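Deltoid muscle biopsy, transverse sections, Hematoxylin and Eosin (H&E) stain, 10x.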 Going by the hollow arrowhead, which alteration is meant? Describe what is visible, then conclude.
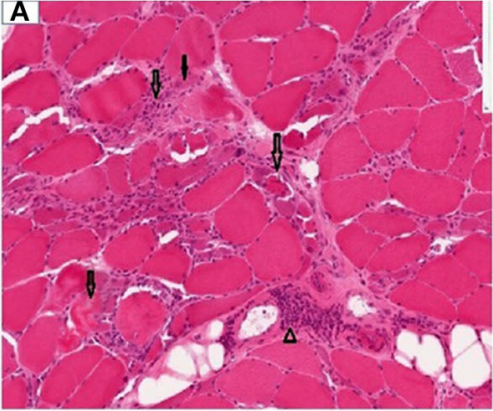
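A dense cluster of small dark round nuclei lies in the connective tissue between fascicles. The cluster sits beside a vessel-like space. So: lymphocytic inflammation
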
